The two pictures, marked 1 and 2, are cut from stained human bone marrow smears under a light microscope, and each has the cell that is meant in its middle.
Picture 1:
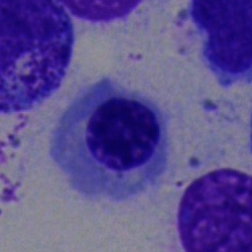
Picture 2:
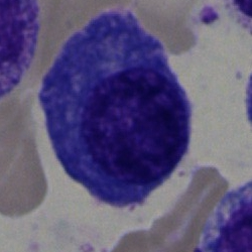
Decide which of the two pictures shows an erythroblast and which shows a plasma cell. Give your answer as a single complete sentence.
Picture 1 shows an erythroblast and picture 2 shows a plasma cell.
